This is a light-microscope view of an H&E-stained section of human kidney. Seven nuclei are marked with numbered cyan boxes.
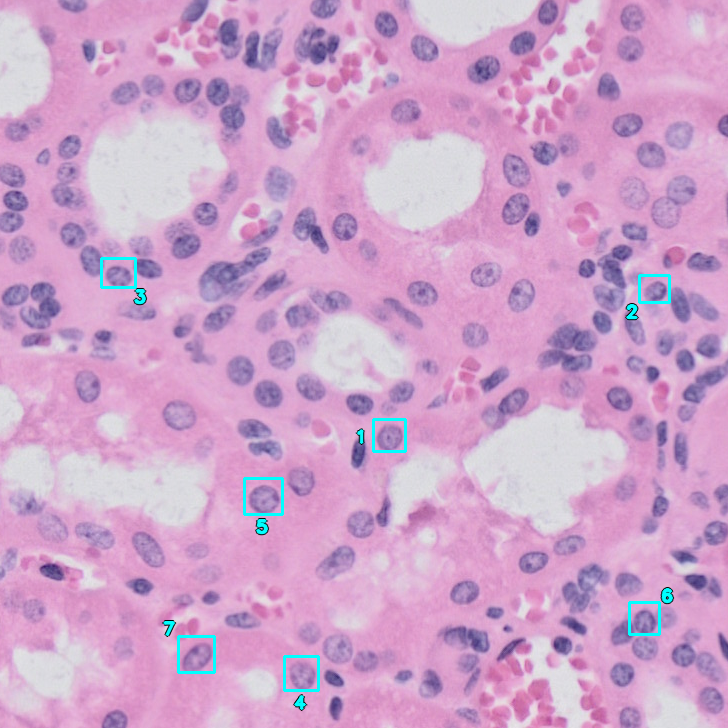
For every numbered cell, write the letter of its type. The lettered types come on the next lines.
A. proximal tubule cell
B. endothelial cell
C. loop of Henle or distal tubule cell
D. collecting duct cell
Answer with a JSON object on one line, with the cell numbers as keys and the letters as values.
{"1": "A", "2": "D", "3": "D", "4": "A", "5": "A", "6": "D", "7": "A"}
